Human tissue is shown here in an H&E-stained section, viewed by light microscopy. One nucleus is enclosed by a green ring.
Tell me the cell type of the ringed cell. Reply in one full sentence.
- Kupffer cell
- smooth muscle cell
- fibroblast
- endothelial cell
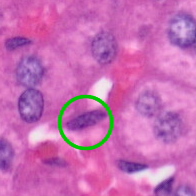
This is a Kupffer cell.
